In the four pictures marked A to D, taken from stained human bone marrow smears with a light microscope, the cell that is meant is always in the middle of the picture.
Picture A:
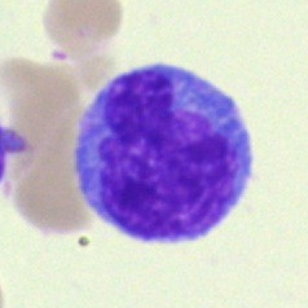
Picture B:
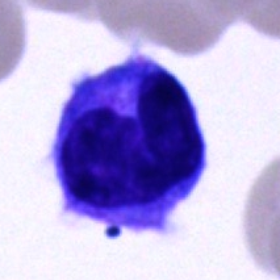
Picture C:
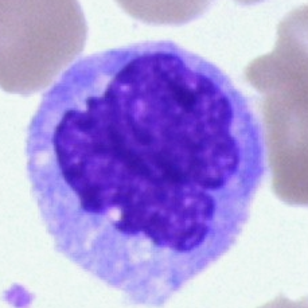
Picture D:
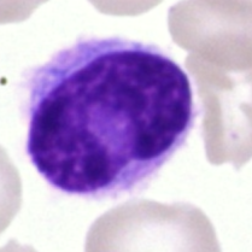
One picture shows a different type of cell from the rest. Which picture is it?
D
